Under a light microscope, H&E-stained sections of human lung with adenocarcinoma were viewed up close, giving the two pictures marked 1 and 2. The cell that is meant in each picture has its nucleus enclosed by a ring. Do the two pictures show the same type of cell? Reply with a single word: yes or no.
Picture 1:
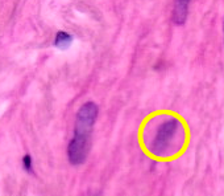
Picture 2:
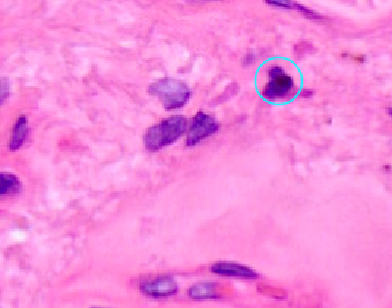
no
